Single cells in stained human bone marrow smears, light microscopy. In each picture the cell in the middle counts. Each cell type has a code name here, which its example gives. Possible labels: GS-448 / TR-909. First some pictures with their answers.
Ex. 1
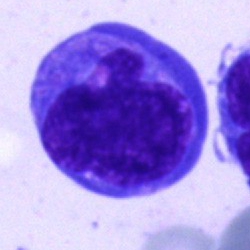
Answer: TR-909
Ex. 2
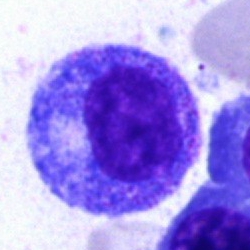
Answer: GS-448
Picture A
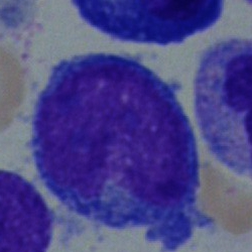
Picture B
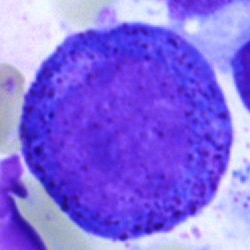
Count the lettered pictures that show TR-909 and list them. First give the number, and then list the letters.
1: A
